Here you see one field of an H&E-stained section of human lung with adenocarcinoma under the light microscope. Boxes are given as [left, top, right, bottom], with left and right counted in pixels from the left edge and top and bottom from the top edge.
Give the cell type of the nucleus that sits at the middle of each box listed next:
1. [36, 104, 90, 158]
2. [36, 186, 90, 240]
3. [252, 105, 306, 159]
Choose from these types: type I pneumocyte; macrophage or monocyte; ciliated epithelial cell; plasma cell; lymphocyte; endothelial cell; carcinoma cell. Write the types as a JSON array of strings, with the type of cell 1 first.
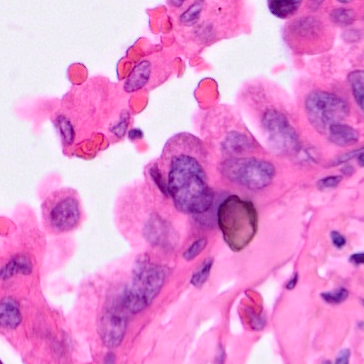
["macrophage or monocyte", "carcinoma cell", "carcinoma cell"]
